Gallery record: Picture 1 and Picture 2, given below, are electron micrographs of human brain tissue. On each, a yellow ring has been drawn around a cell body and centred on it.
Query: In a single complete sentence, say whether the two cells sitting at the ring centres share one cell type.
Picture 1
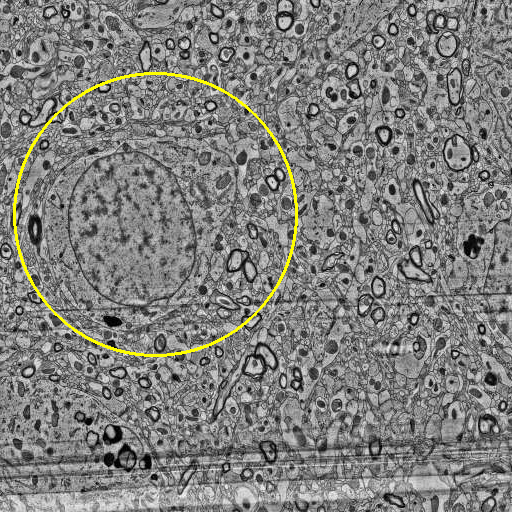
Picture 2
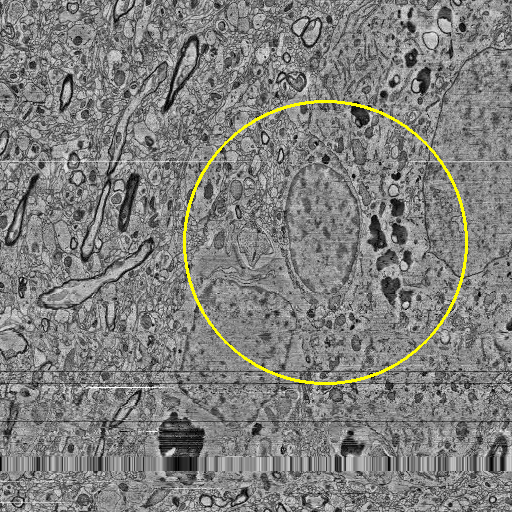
No, in the two pictures the cells at the rings' centres are of two separate types.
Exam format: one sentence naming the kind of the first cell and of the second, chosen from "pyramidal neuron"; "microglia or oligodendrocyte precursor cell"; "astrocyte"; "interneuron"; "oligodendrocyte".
The first picture's cell is a pyramidal neuron, and the second picture's cell is an oligodendrocyte.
